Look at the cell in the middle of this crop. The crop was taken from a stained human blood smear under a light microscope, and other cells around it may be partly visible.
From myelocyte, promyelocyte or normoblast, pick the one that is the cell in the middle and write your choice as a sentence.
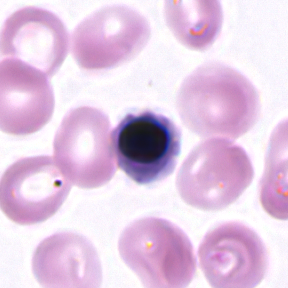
Within this crop, a normoblast occupies the central position.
